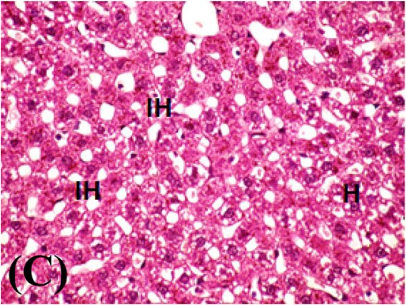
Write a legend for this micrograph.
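Liver tissue in which the hepatocytes are crowded with numerous clear, empty-looking vacuoles of varying size, giving the section a sieve-like appearance. The liver cells between the vacuoles have granular pink-purple cytoplasm and round dark nuclei. The normal cord arrangement of the liver cells is hard to make out because of the many clear spaces.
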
